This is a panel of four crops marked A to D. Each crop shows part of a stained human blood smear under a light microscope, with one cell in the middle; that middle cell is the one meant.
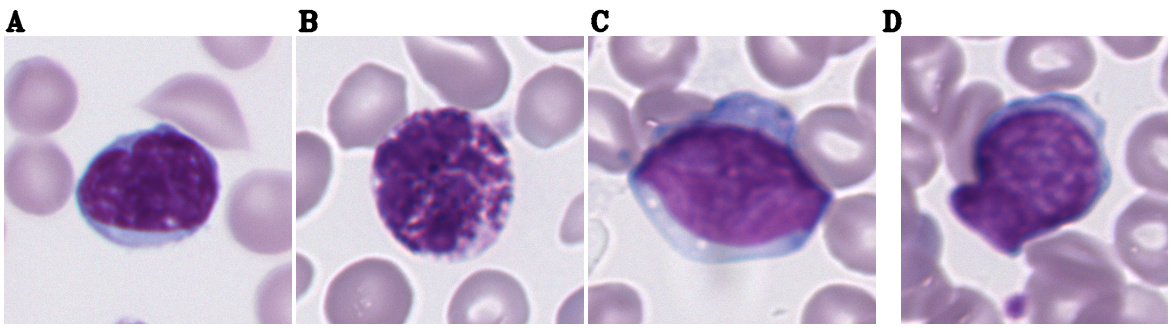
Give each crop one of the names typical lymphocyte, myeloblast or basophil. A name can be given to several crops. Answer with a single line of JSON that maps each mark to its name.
{"A": "typical lymphocyte", "B": "basophil", "C": "myeloblast", "D": "myeloblast"}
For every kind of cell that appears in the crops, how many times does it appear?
myeloblast: 2
typical lymphocyte: 1
basophil: 1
